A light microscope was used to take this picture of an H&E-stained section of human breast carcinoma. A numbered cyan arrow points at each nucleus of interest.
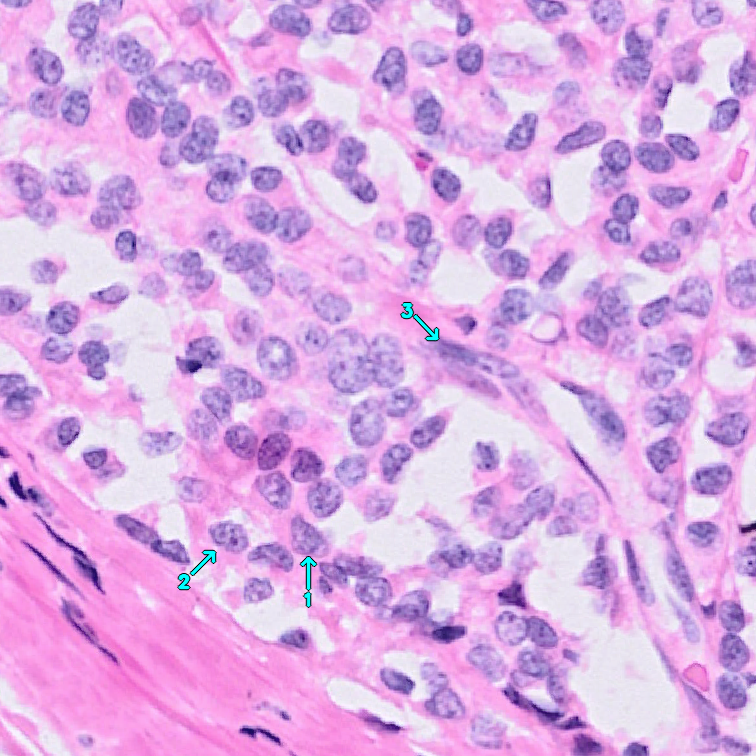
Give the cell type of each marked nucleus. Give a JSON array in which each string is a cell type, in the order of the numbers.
["carcinoma cell", "carcinoma cell", "endothelial cell"]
